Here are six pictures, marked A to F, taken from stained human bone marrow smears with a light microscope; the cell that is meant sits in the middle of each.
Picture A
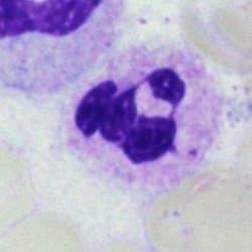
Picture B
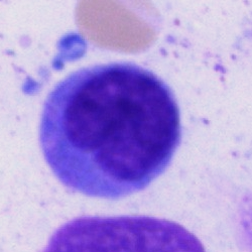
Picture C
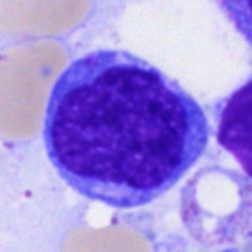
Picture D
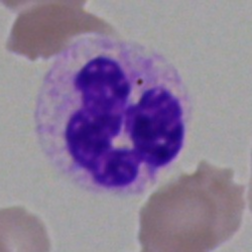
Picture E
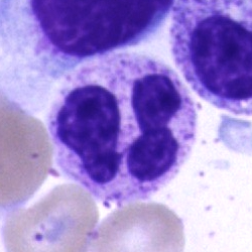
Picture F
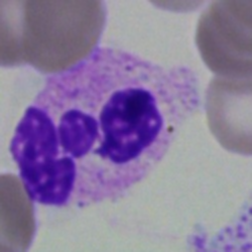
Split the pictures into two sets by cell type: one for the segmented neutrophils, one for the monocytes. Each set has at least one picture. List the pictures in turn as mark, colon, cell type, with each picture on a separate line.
A: segmented neutrophil
B: monocyte
C: monocyte
D: segmented neutrophil
E: segmented neutrophil
F: segmented neutrophil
